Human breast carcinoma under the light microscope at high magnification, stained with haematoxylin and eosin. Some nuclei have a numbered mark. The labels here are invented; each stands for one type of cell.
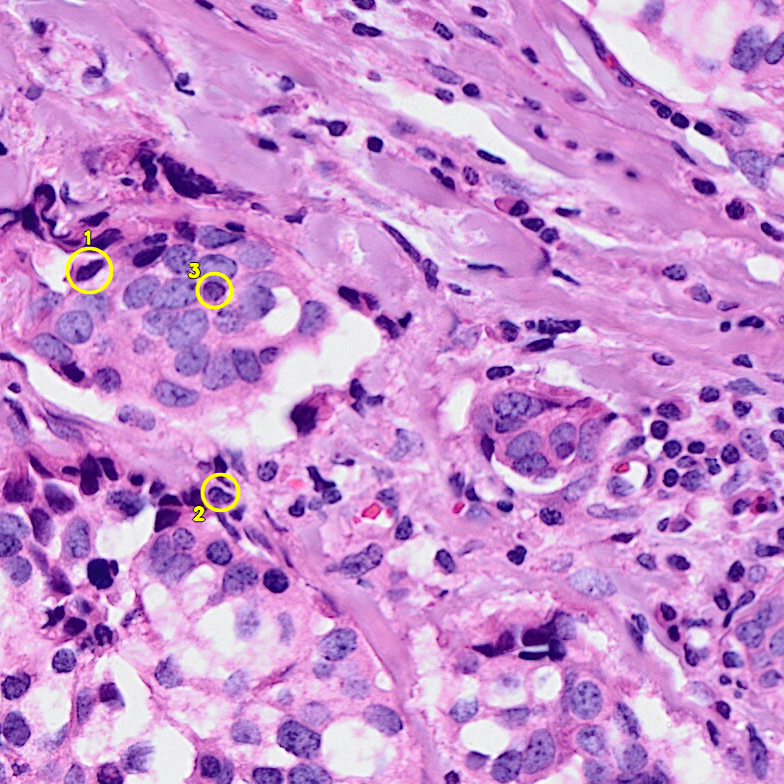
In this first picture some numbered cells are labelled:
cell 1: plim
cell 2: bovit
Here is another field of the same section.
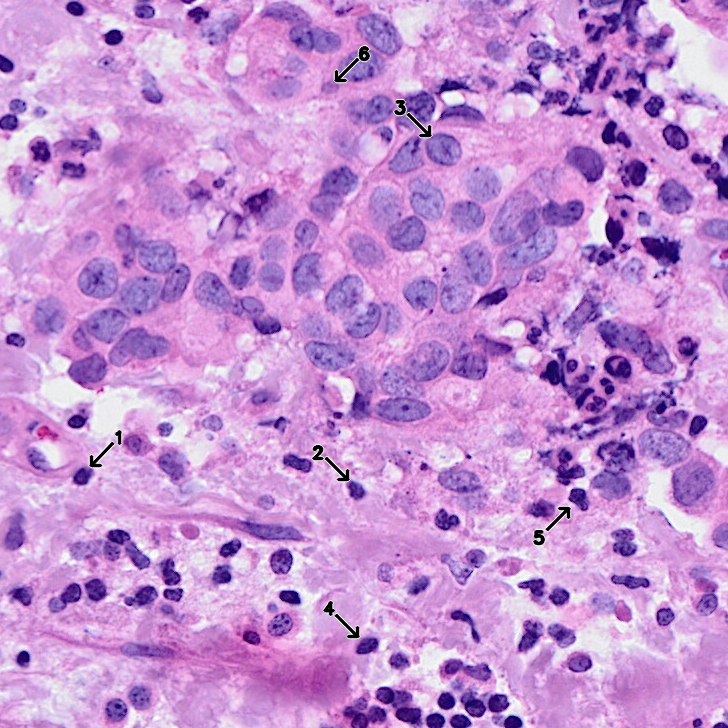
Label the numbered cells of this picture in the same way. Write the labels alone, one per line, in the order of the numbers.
bovit
bovit
plim
bovit
bovit
plim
